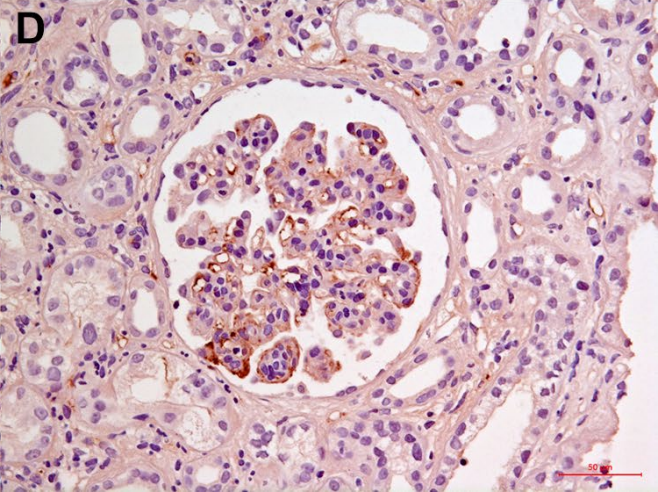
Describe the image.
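A glomerulus lies in the centre, surrounded by tubules cut in cross section and a thin capsule. Its tuft is cellular, with many blue nuclei, and brown staining follows the capillary loops and the mesangial stalks in a granular, segmental pattern. The brown stain is strongest along the lower part of the tuft. The tubules around it are largely unstained, with only small brown specks in the interstitium.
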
